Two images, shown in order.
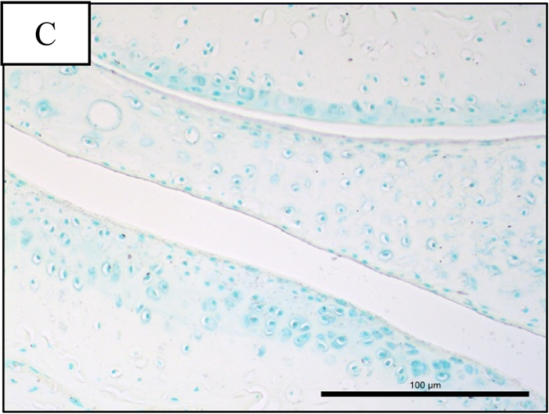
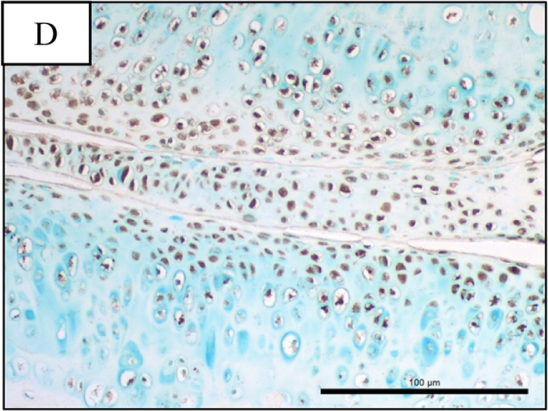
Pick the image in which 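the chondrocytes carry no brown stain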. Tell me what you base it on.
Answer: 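Second image: many chondrocytes throughout the cartilage have brown-stained nuclei. First image: chondrocytes appear only pale blue-green, with no brown. The answer: the first image.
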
